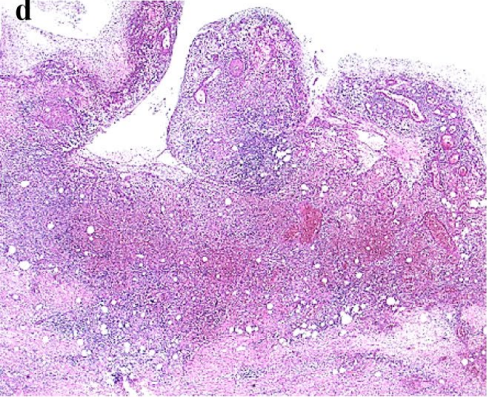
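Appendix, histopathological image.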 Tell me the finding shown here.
Inflammatory cells invading the appendiceal wall with destruction of the wall architecture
